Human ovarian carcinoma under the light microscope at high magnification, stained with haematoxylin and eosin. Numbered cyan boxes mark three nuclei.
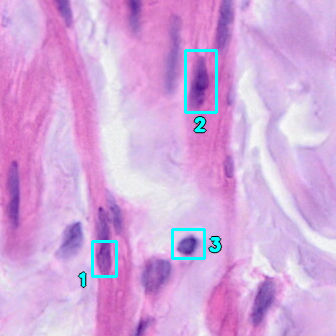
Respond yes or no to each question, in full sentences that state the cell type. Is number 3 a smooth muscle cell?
No, it is a lymphocyte, rather than a smooth muscle cell, that carries number 3.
